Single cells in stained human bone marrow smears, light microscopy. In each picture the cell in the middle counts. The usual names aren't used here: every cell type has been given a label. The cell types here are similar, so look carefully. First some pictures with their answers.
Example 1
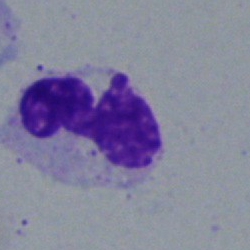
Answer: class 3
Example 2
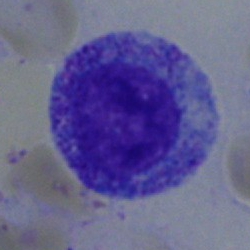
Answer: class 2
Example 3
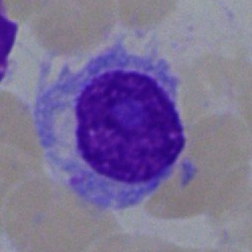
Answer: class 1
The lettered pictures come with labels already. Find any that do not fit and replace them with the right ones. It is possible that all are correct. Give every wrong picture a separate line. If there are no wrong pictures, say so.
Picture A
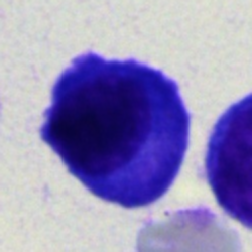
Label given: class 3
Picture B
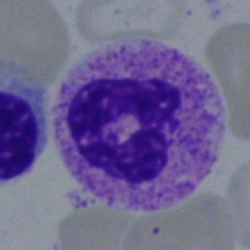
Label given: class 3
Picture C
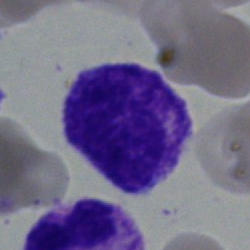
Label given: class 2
A: change class 3 to class 1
